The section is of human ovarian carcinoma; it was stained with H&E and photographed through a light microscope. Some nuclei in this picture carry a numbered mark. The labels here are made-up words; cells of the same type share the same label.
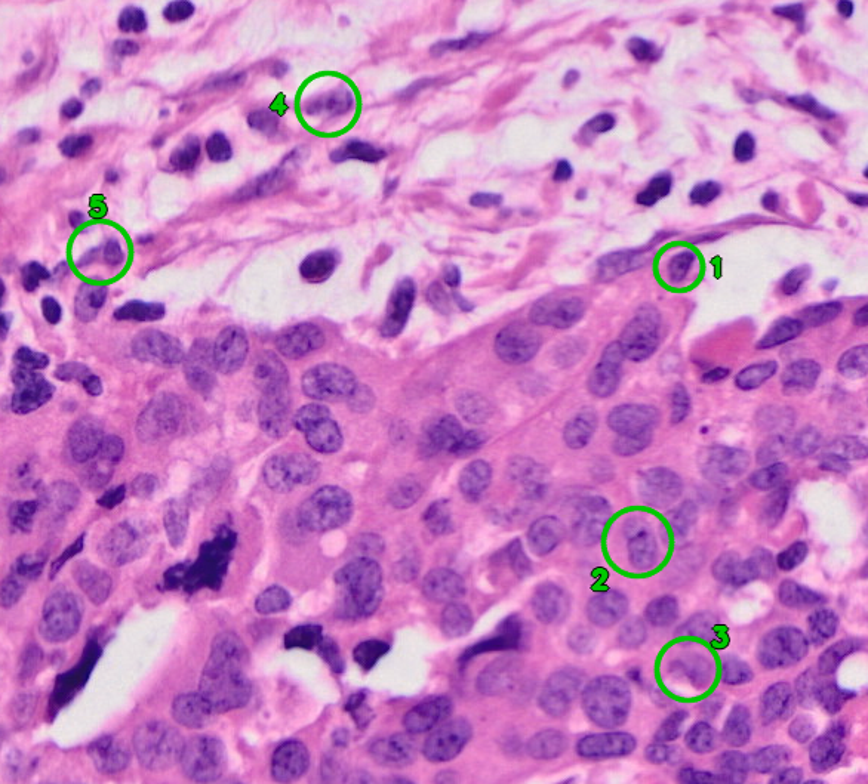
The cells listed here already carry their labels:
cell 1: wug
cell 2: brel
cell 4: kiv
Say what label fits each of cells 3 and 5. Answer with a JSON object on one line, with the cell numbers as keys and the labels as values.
{"3": "brel", "5": "wug"}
